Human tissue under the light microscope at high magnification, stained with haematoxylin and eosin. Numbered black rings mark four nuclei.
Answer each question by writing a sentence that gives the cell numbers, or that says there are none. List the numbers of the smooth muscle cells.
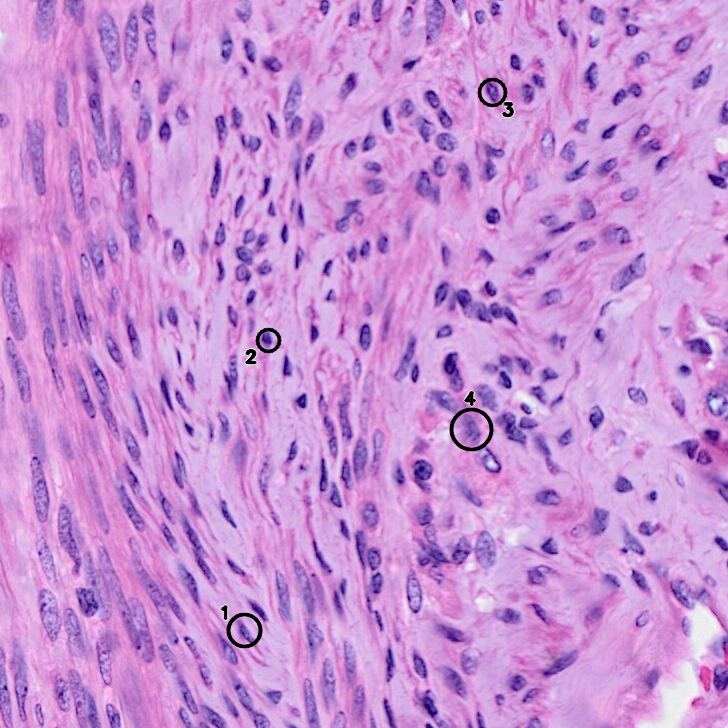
The cells numbered 1, 2 and 3 are typed as smooth muscle cells.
